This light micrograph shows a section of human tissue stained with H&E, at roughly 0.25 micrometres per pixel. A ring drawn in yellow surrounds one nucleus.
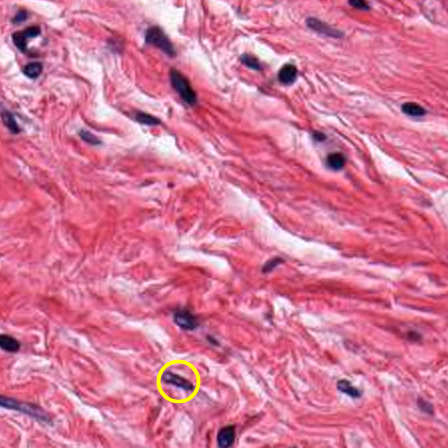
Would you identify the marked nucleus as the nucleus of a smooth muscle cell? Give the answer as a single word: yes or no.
no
